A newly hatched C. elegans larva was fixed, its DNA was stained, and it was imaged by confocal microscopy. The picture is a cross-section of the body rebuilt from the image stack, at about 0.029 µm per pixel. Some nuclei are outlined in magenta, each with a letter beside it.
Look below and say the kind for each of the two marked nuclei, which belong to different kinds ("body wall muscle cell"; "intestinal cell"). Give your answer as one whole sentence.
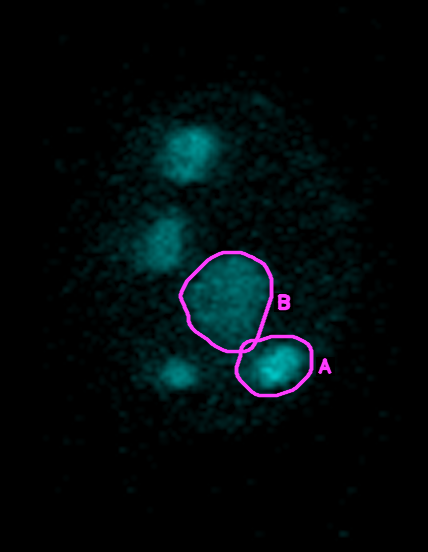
Nucleus A comes from a body wall muscle cell and nucleus B from an intestinal cell.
